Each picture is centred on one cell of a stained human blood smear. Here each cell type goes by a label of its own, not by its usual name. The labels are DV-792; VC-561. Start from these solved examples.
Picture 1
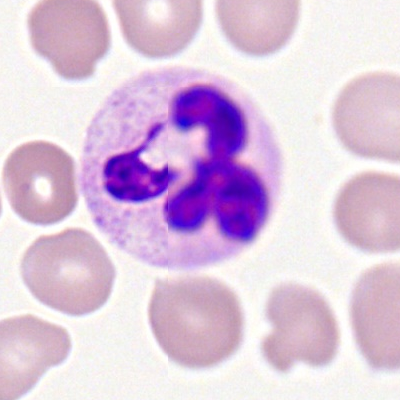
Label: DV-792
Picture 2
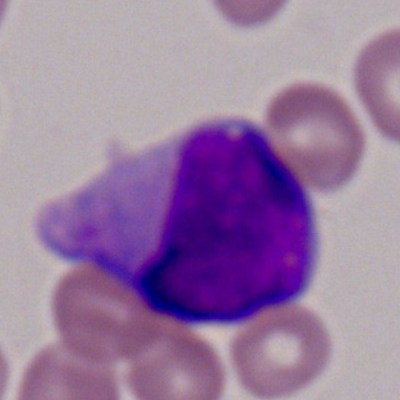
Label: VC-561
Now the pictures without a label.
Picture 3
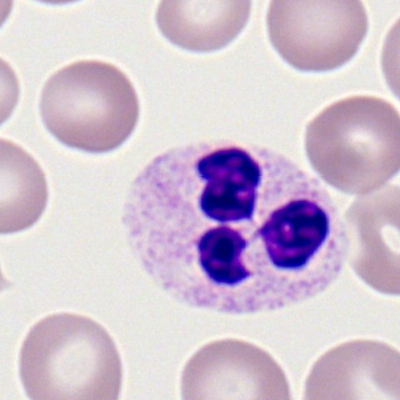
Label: DV-792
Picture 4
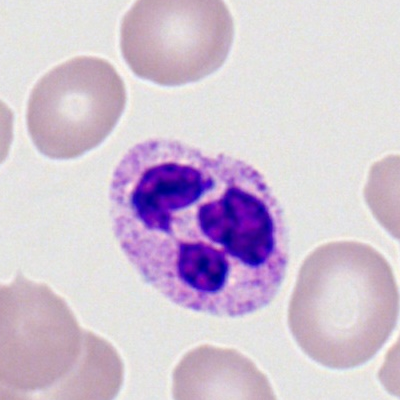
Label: DV-792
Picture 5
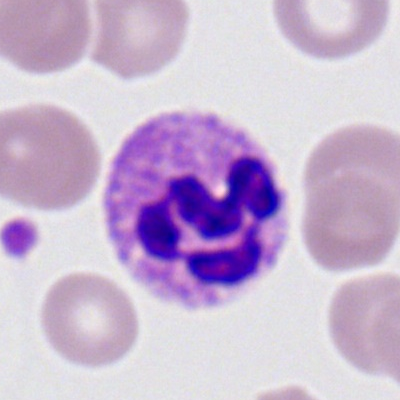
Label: DV-792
